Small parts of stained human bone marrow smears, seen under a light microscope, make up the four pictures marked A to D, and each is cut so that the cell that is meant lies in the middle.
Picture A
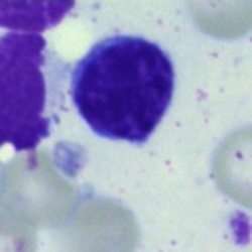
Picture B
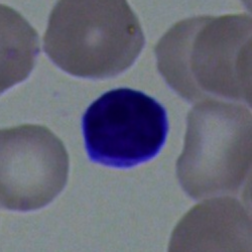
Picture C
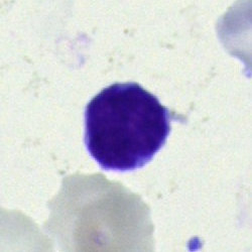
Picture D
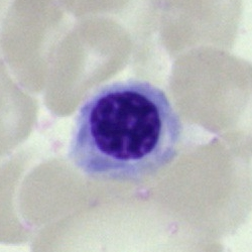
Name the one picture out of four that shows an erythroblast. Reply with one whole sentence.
Picture D is the one that shows the erythroblast.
